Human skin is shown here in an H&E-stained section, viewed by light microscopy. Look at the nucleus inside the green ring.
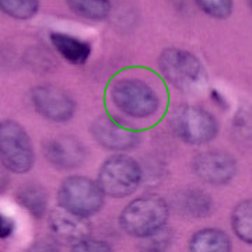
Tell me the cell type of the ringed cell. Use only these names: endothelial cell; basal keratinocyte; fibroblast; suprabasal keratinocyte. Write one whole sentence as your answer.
Typologically, the ringed cell is a suprabasal keratinocyte in this section.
